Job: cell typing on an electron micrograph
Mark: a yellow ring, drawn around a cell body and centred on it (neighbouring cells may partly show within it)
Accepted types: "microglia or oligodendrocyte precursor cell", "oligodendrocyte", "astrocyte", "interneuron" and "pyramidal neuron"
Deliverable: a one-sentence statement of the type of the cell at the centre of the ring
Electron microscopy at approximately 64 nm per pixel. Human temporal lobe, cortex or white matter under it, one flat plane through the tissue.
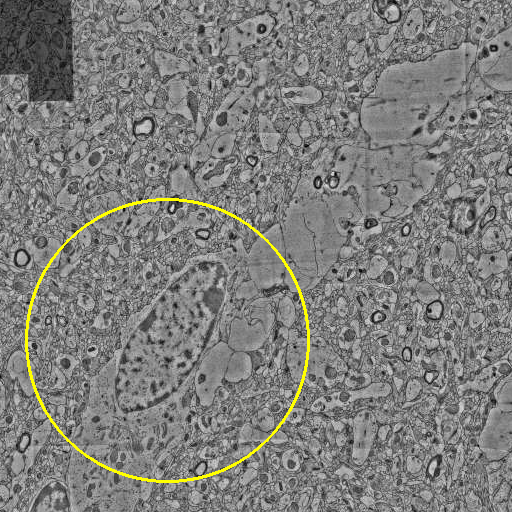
The centred cell body is that of a microglial cell or oligodendrocyte precursor cell.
